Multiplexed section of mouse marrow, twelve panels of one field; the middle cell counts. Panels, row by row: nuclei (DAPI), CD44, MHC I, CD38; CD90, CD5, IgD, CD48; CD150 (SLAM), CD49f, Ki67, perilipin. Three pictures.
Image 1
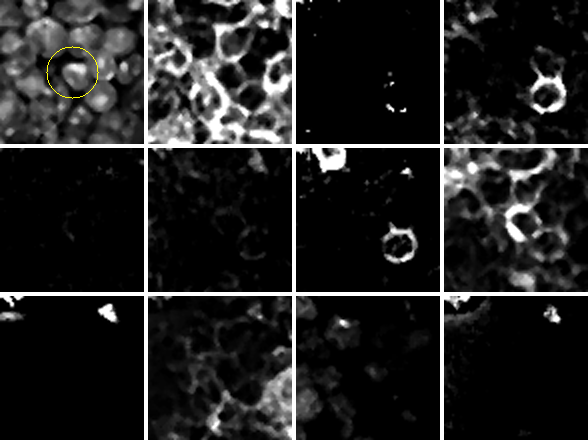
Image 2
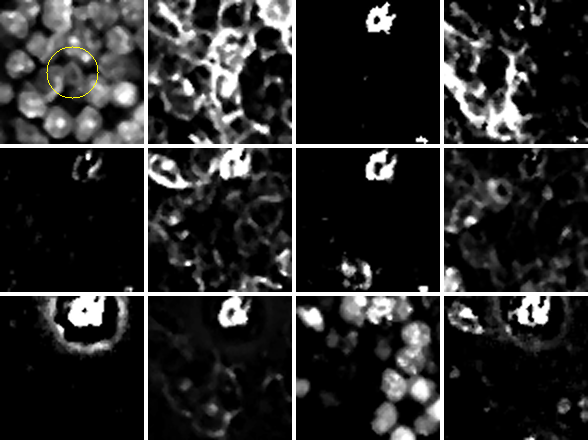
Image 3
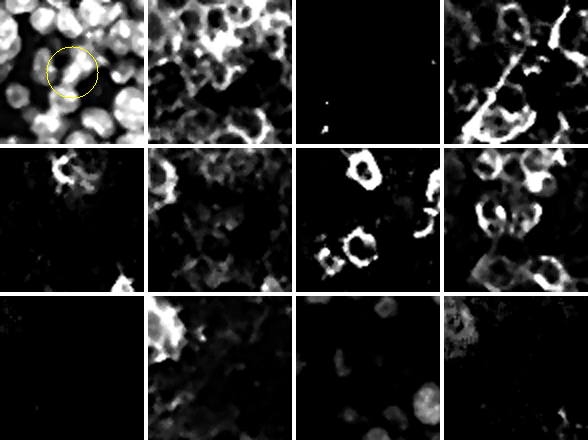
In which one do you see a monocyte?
In picture 1.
